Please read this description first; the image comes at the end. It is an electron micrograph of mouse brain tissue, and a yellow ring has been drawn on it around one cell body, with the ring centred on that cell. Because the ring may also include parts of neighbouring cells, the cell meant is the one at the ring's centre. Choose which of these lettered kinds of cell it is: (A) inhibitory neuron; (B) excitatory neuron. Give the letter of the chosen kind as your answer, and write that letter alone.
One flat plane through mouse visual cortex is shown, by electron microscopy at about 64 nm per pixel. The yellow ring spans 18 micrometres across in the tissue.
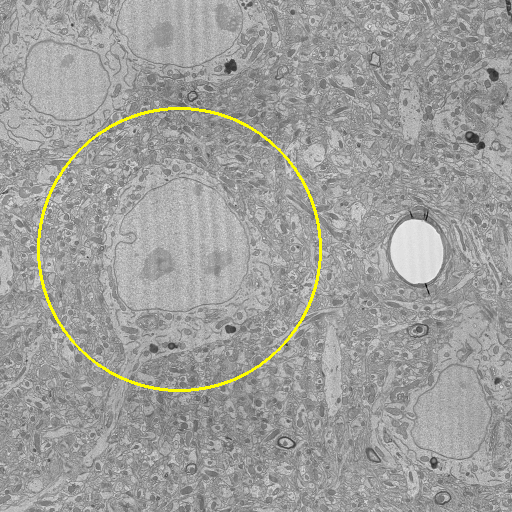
B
